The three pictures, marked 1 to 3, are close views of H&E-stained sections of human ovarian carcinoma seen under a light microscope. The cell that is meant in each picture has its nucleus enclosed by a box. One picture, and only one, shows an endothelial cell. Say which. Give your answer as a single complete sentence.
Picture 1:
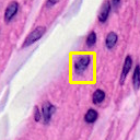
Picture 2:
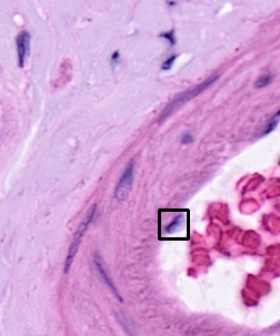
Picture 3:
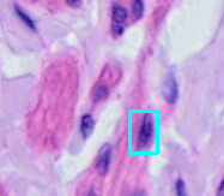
The picture with the endothelial cell is 2.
